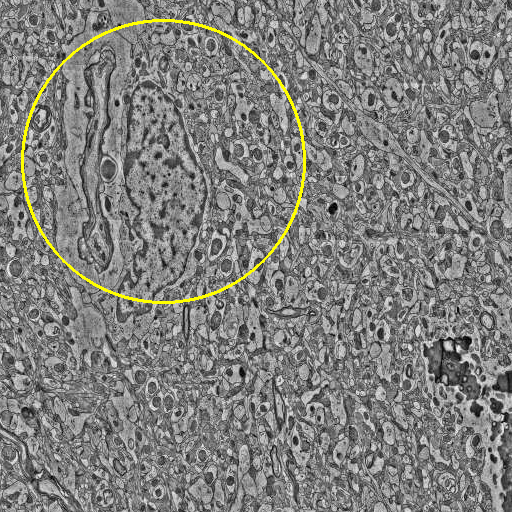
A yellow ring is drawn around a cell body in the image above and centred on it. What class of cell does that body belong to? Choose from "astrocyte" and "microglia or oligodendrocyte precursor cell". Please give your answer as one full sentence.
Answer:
The yellow ring above is centred on the cell body of a microglial cell or oligodendrocyte precursor cell.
